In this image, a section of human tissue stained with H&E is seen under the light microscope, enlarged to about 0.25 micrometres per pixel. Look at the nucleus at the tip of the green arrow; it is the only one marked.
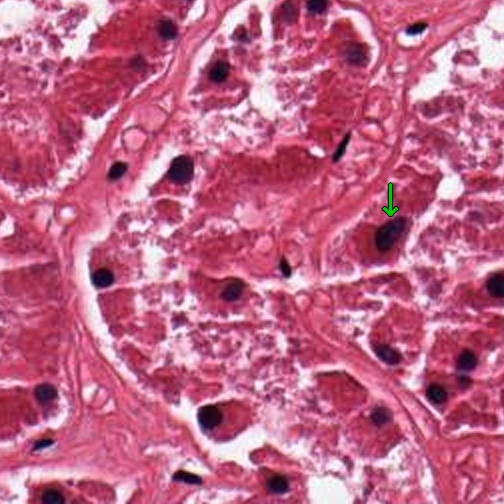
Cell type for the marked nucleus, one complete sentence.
The nucleus picked out by the mark is that of a proximal tubule cell.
